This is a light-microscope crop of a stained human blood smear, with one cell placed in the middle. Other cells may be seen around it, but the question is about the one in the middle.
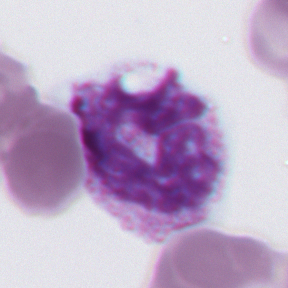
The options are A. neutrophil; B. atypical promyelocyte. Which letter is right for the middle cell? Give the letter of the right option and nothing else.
A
